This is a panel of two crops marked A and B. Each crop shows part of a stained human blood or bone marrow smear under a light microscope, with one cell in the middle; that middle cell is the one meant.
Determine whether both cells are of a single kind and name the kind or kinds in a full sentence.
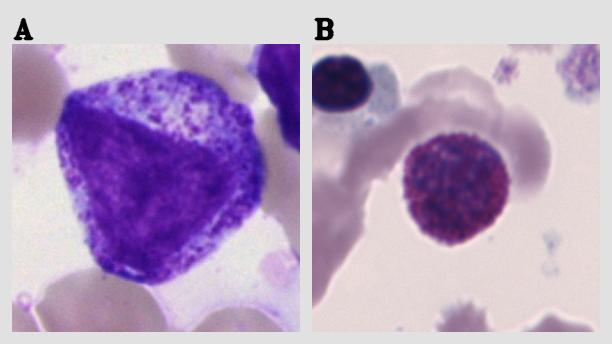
No, it is crop A that shows a promyelocyte, and crop B that shows an eosinophil.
